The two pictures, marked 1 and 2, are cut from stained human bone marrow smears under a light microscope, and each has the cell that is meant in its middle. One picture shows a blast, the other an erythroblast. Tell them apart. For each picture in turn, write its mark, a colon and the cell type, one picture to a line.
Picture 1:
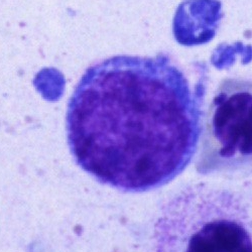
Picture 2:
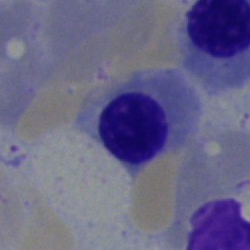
1: blast
2: erythroblast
